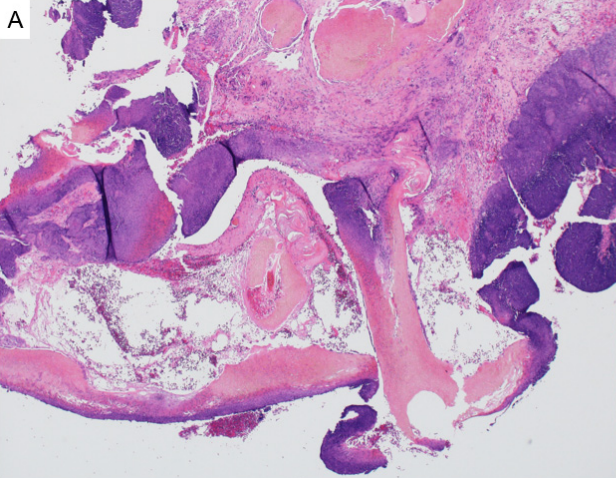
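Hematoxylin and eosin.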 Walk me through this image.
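At low magnification the tissue is broken into many fragments. Above, a loose pink fibrous stroma holds rounded pink islands, and in places the tissue appears disrupted, with scattered debris and haemorrhage. This is a dermal tumour built of basophilic and eosinophilic compartments, a pilomatricoma, here showing features of rupture.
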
